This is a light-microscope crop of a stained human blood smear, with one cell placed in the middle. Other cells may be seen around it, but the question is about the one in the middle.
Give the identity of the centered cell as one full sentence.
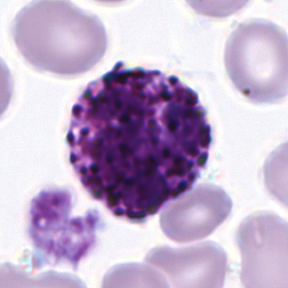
The central cell shown in this smear crop is a basophil.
